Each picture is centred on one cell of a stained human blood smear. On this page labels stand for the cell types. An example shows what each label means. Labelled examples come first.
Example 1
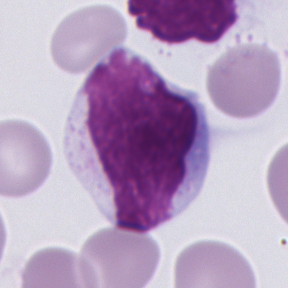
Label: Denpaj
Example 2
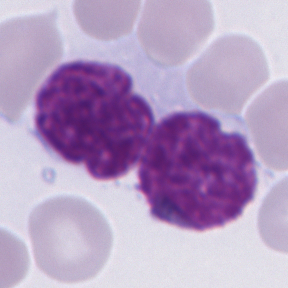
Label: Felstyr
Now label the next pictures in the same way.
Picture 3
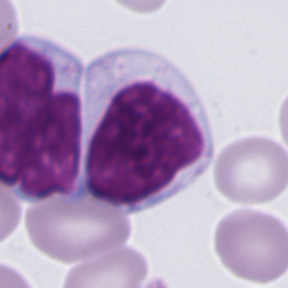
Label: Denpaj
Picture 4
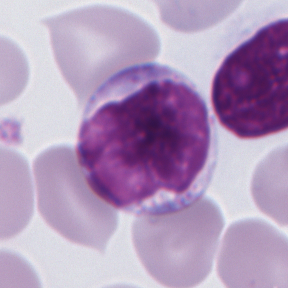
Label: Denpaj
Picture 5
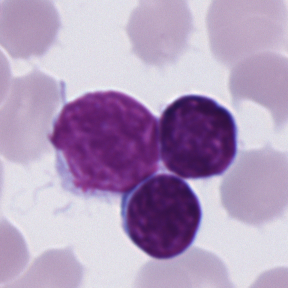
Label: Felstyr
